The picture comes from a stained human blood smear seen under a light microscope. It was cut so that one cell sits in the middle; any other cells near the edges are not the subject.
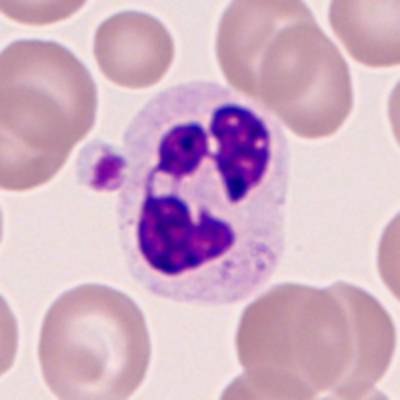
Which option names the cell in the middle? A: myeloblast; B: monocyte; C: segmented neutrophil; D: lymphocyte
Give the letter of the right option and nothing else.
C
